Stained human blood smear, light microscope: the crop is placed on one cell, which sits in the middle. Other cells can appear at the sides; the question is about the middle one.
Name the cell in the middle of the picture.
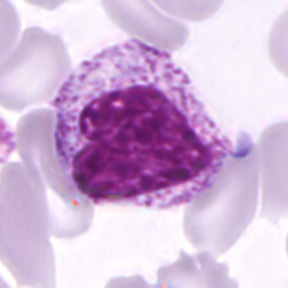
band neutrophil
